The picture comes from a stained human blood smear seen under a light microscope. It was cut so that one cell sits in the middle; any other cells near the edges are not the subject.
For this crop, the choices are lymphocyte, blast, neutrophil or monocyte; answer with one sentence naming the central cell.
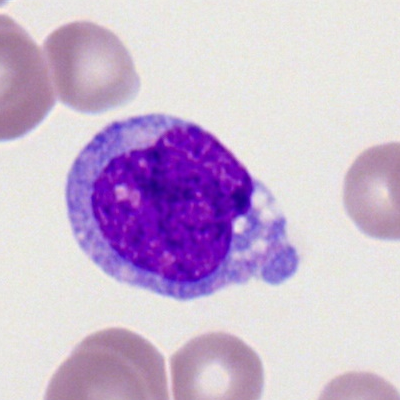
The central cell in this smear crop is a monocyte.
